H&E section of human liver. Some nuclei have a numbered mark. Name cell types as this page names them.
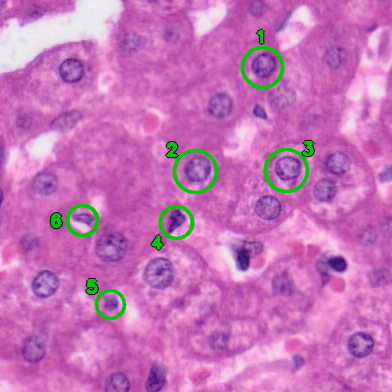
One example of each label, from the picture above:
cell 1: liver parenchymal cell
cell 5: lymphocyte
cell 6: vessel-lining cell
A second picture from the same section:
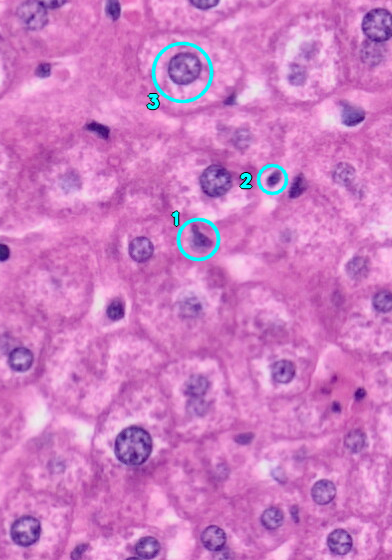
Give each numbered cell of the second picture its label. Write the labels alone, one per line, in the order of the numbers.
vessel-lining cell
lymphocyte
liver parenchymal cell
